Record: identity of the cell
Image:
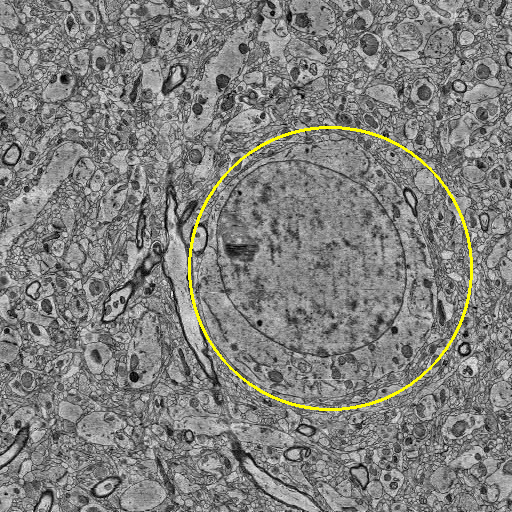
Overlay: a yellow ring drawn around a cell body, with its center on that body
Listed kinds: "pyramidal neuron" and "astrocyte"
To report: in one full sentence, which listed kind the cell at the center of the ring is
In the image, the cell body at the ring's center belongs to a pyramidal neuron.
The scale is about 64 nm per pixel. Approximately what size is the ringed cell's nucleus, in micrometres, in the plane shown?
In this plane the nucleus is about 14 micrometres by 12.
